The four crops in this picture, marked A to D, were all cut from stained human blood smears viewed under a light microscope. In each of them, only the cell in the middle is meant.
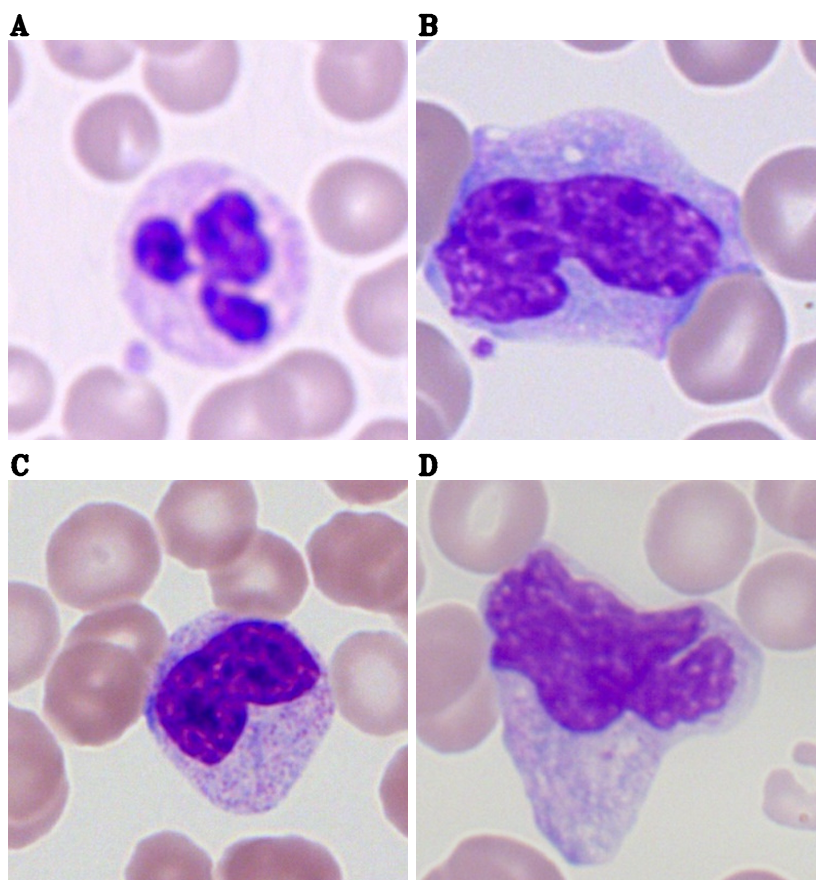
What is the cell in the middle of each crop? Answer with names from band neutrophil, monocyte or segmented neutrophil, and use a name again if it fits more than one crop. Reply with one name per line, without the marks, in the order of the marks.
segmented neutrophil
monocyte
band neutrophil
monocyte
